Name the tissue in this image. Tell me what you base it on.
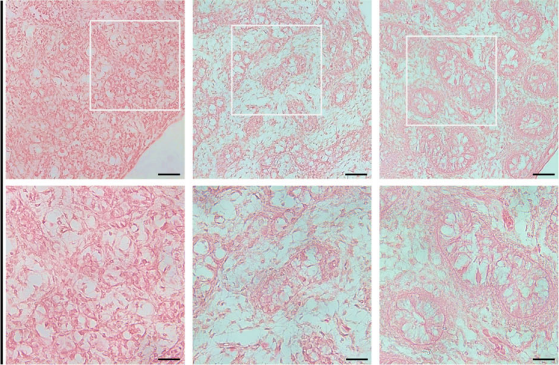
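In the middle and right columns the tissue is organised into rounded, outlined cord or tubule profiles. Loose pink interstitial tissue lies between the cord profiles. That points to this answer: testes.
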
